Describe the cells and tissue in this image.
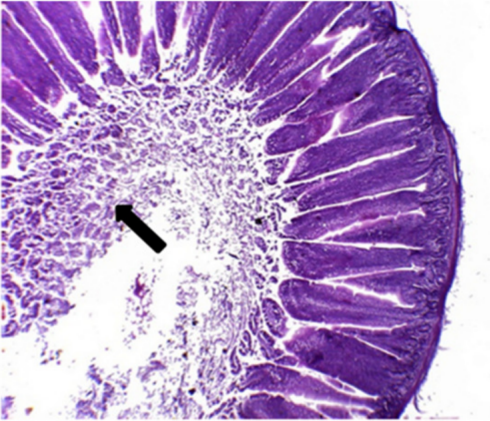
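Cross-section of the intestine with purple-stained intestinal villi radiating toward the center, whose outer parts remain arranged in a row. Toward the lumen the villus tips are broken up and detached, so the center is filled with fragmented, loose tissue debris. The outer wall lies at the right edge of the section.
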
